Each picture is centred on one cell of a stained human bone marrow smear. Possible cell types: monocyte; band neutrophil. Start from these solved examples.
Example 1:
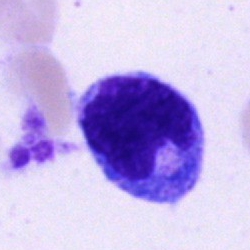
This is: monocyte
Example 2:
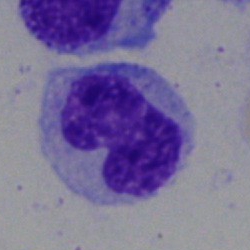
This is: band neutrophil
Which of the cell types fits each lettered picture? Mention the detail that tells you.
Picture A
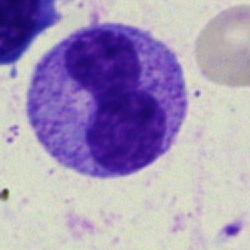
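band neutrophil. The cytoplasm is scattered with many fine purple granules.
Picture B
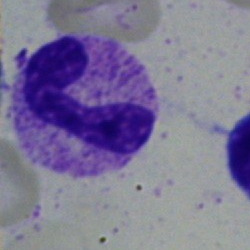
band neutrophil. The cytoplasm is plentiful and has a pinkish-lilac tint.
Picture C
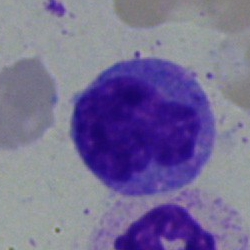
monocyte. The nucleus fills most of the cell.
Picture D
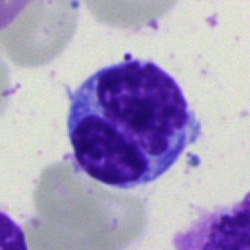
monocyte. The cytoplasm forms only a narrow rim around the nucleus.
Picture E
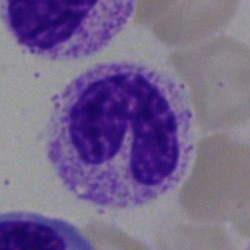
band neutrophil. Fine pinkish-violet granules are scattered throughout the cytoplasm.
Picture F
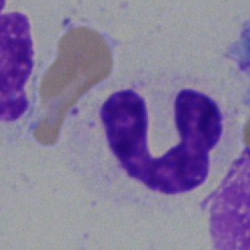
band neutrophil. A wide rim of pale pinkish-lilac cytoplasm surrounds the nucleus.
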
